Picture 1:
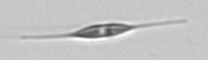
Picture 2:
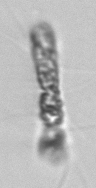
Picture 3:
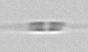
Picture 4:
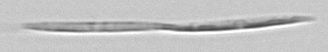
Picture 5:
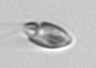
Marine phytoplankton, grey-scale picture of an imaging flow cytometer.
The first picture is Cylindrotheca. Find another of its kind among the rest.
Picture 3.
